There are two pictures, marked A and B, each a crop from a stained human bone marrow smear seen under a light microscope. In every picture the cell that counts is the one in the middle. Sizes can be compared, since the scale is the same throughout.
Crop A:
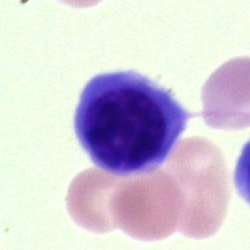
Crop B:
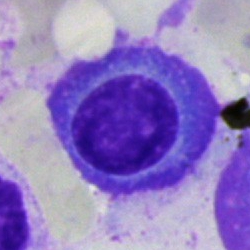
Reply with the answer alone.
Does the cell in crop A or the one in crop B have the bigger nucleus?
B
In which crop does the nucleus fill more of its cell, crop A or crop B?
A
